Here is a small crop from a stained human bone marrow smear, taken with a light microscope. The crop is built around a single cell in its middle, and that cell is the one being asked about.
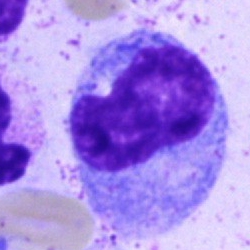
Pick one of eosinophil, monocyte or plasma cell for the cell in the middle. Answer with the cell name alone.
monocyte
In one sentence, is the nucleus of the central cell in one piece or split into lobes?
A single compact nucleus is present, shaped round, oval or like a kidney.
